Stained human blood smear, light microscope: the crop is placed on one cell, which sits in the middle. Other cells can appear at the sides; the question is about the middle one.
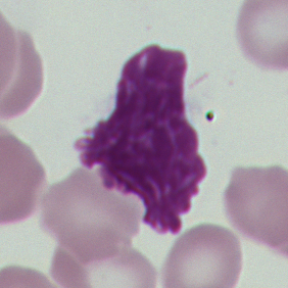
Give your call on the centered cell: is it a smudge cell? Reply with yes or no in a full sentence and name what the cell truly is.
Yes, a smudge cell is what the central cell is.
